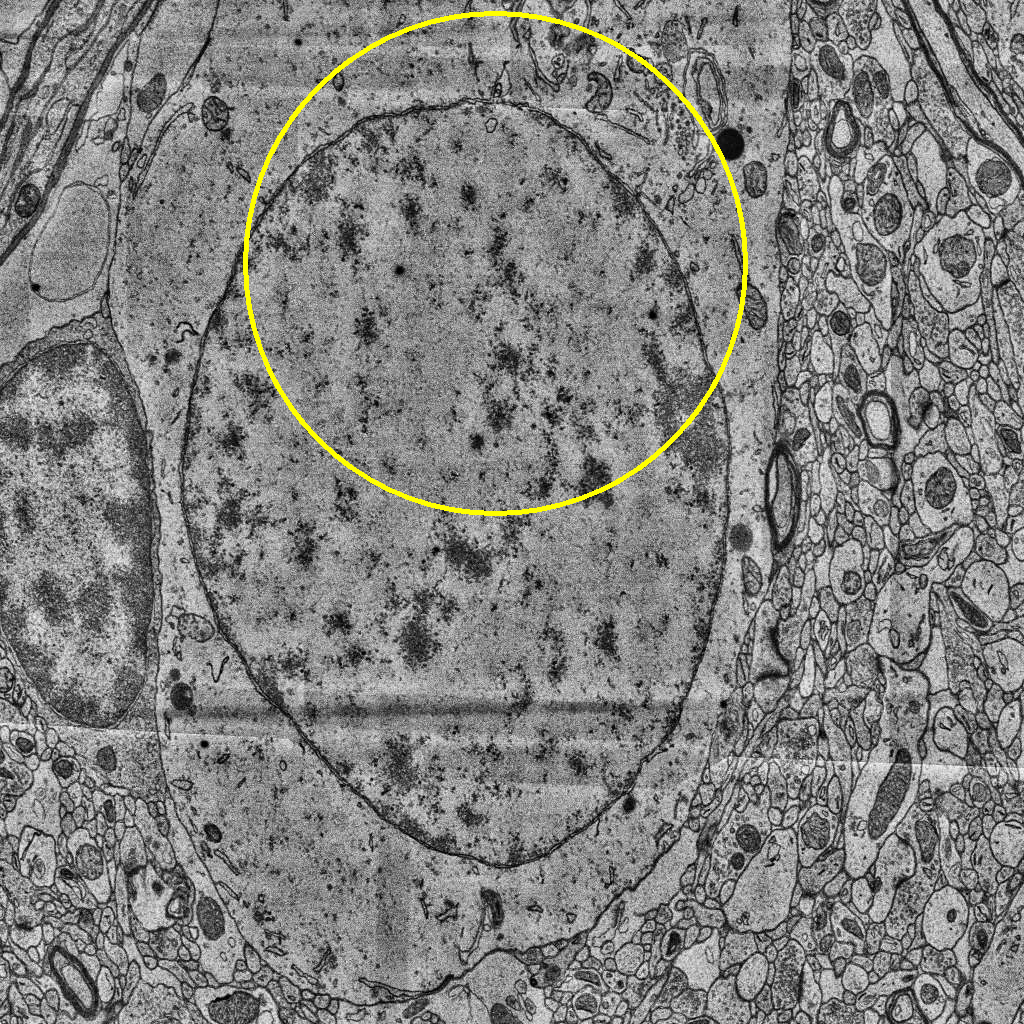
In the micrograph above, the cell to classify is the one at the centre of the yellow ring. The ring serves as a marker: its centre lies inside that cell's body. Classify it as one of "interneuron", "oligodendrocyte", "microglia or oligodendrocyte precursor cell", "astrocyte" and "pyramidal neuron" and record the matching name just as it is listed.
pyramidal neuron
